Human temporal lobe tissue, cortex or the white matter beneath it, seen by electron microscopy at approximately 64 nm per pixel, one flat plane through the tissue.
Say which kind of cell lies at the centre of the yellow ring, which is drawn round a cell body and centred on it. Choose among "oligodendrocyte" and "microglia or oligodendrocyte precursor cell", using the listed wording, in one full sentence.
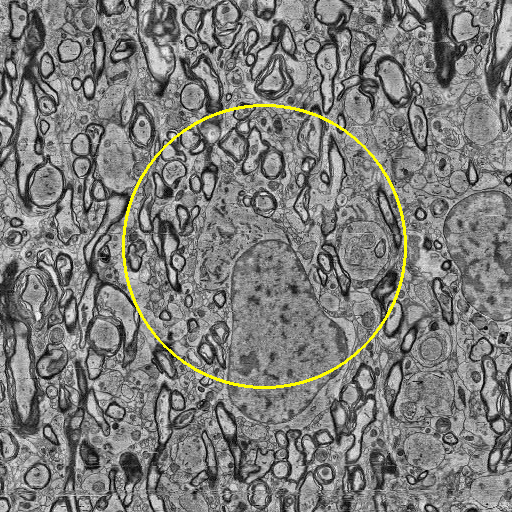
Going by the list, the cell at the yellow ring's centre is a microglial cell or oligodendrocyte precursor cell.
